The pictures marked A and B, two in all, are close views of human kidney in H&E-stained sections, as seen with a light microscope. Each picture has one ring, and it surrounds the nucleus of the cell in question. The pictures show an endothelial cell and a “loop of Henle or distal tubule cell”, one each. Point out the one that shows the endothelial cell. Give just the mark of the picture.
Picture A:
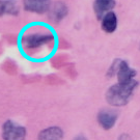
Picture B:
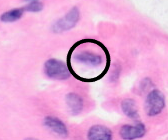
A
